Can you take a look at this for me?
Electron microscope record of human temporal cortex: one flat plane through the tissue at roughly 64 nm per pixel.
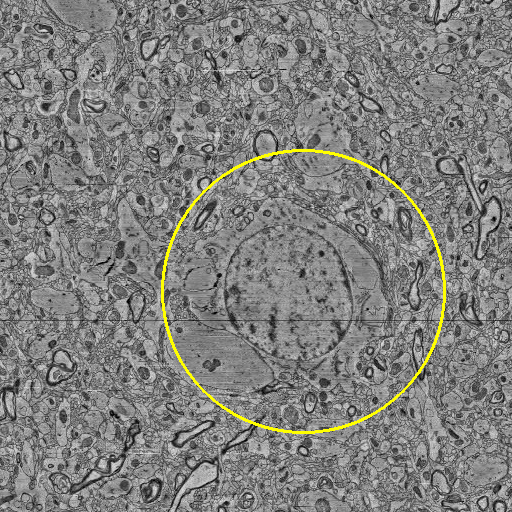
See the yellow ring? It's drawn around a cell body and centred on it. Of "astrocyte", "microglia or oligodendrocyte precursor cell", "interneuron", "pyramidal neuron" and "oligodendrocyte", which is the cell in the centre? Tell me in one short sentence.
The one in the centre is an astrocyte.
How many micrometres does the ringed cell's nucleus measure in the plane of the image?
The nucleus is approximately 9 micrometers long by 8 micrometers wide in this plane.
